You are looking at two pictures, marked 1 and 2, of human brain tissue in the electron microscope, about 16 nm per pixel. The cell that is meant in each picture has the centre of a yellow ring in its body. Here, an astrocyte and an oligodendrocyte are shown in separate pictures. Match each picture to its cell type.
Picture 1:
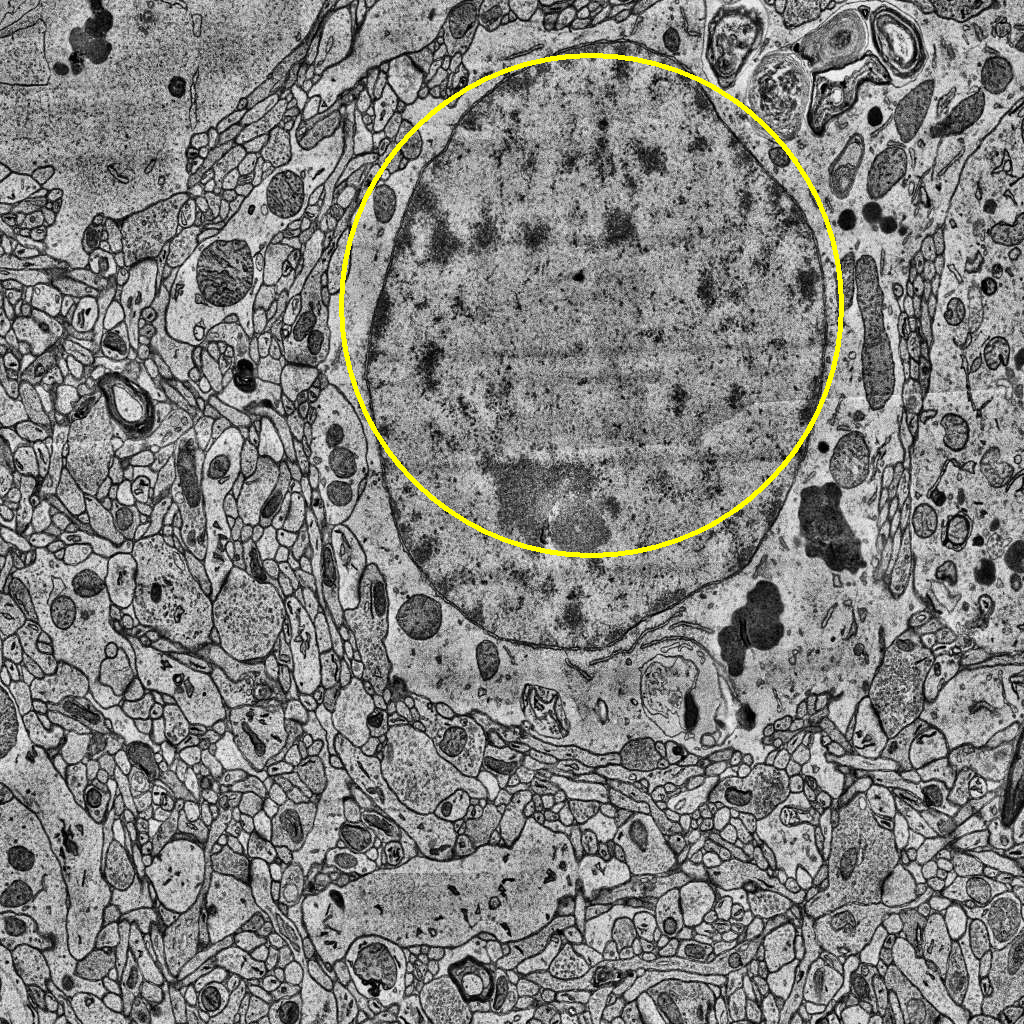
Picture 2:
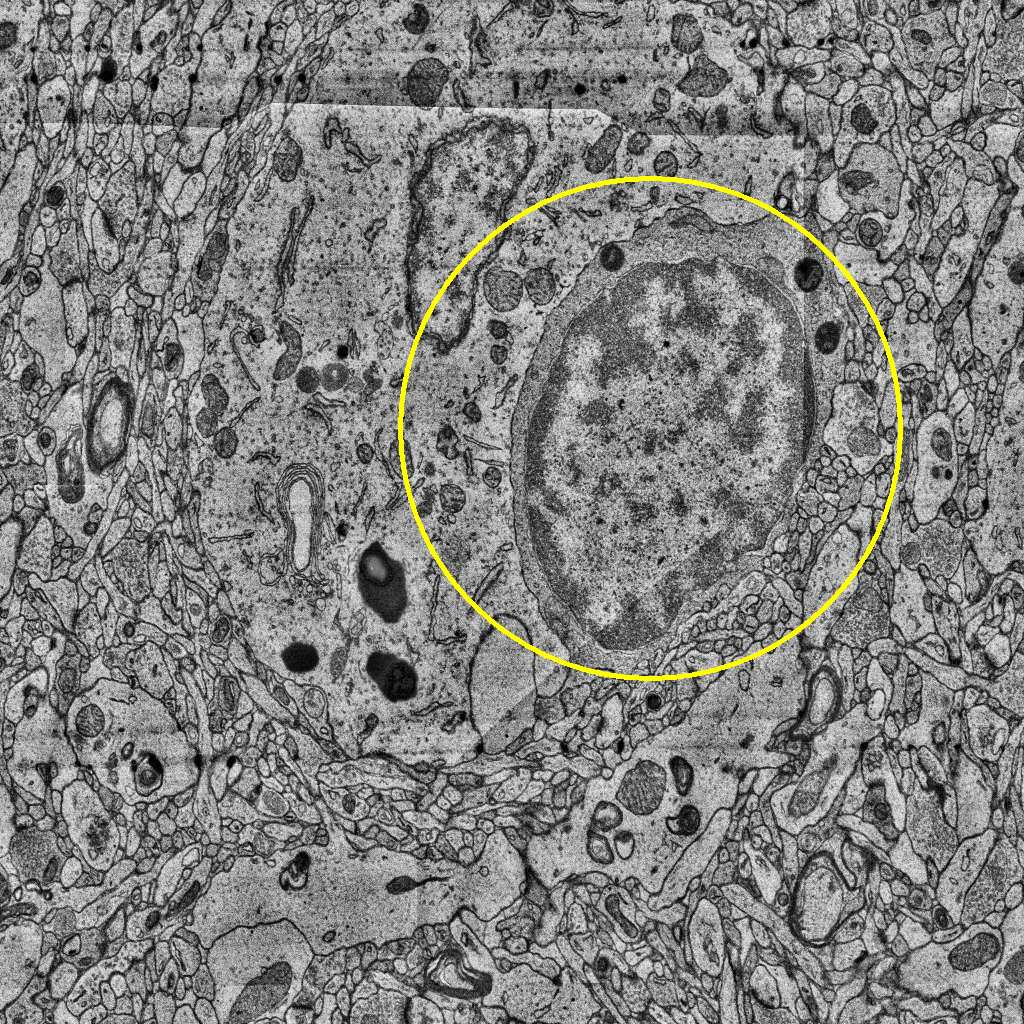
Picture 1 is of an astrocyte, and picture 2 is of an oligodendrocyte.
